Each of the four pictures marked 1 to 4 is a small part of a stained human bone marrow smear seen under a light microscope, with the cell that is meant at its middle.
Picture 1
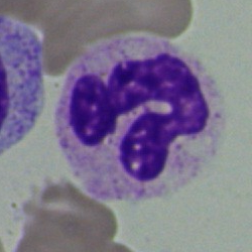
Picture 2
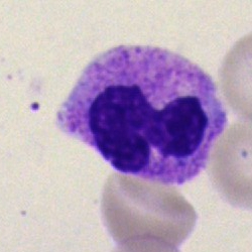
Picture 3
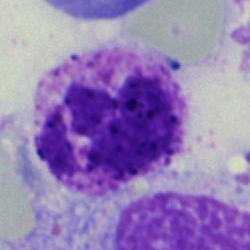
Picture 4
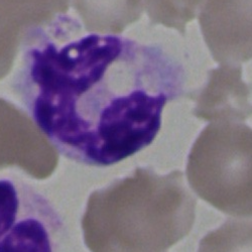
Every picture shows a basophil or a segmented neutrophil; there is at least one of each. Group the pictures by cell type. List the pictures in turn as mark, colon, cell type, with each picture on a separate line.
1: segmented neutrophil
2: segmented neutrophil
3: basophil
4: segmented neutrophil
